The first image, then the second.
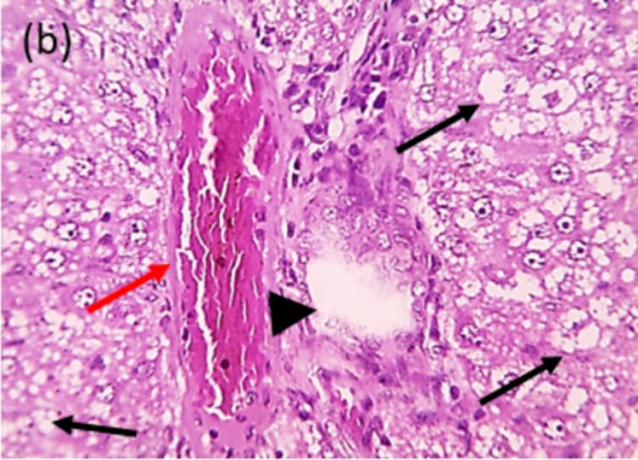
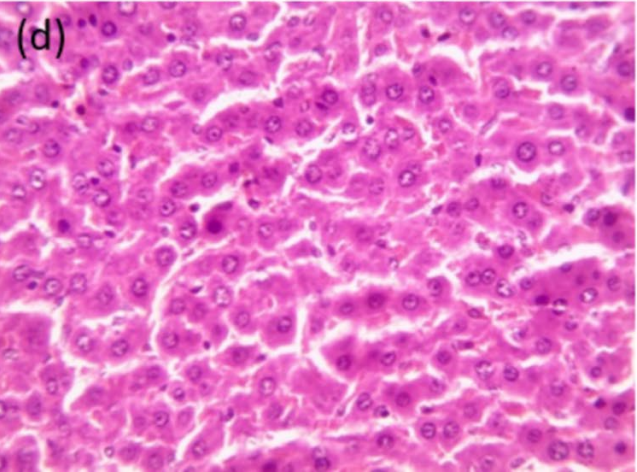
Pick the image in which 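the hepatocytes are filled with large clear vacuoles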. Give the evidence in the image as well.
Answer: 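Second image: hepatocytes have evenly pink cytoplasm without vacuoles. First image: most hepatocytes are pale and swollen with many clear round vacuoles.
Answer: the first image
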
